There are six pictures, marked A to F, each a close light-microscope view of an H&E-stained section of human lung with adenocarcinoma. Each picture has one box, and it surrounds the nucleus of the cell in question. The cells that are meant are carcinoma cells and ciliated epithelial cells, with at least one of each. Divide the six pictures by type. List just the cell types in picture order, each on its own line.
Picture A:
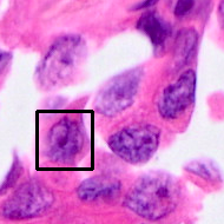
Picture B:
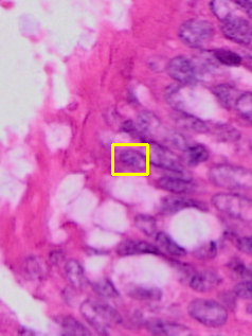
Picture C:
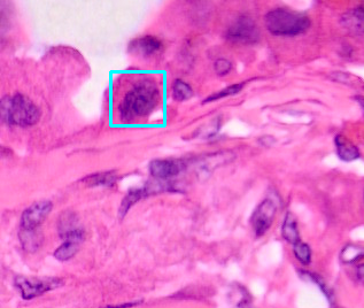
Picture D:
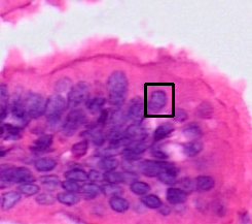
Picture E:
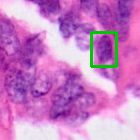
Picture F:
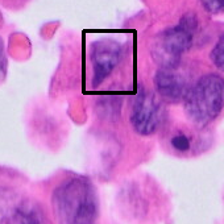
carcinoma cell
ciliated epithelial cell
carcinoma cell
ciliated epithelial cell
ciliated epithelial cell
carcinoma cell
